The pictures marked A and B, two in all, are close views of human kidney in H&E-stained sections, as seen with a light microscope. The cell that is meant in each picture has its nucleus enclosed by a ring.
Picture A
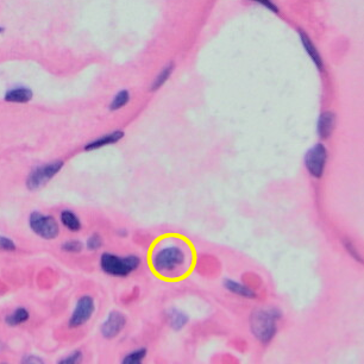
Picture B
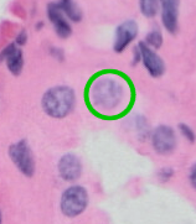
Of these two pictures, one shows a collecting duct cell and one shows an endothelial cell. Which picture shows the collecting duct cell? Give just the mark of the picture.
B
